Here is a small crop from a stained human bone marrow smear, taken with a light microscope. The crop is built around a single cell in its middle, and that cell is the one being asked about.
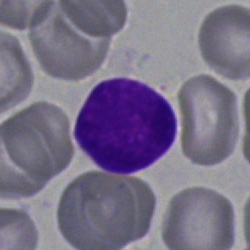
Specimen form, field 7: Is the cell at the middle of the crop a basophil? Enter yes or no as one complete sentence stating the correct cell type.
No, this one is a lymphocyte; it is not a basophil.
